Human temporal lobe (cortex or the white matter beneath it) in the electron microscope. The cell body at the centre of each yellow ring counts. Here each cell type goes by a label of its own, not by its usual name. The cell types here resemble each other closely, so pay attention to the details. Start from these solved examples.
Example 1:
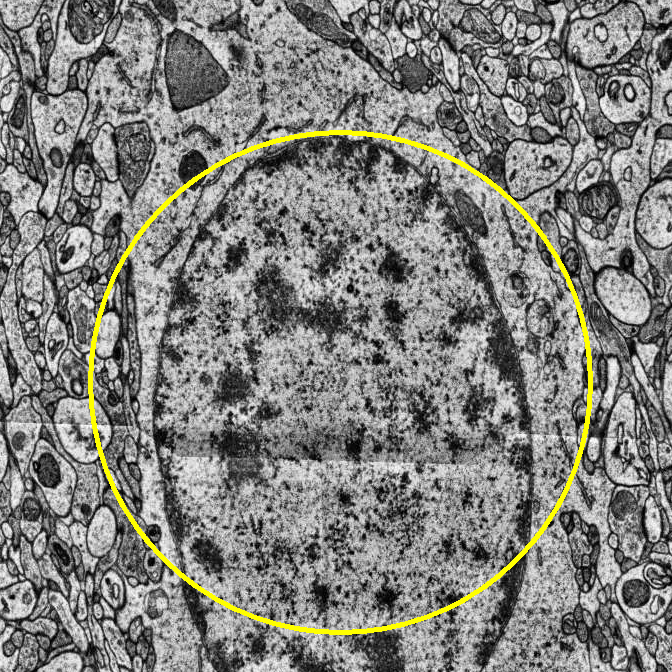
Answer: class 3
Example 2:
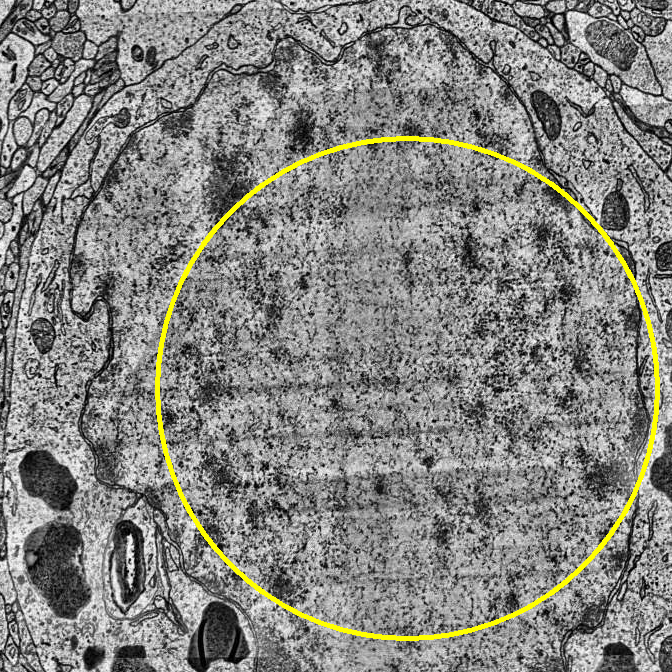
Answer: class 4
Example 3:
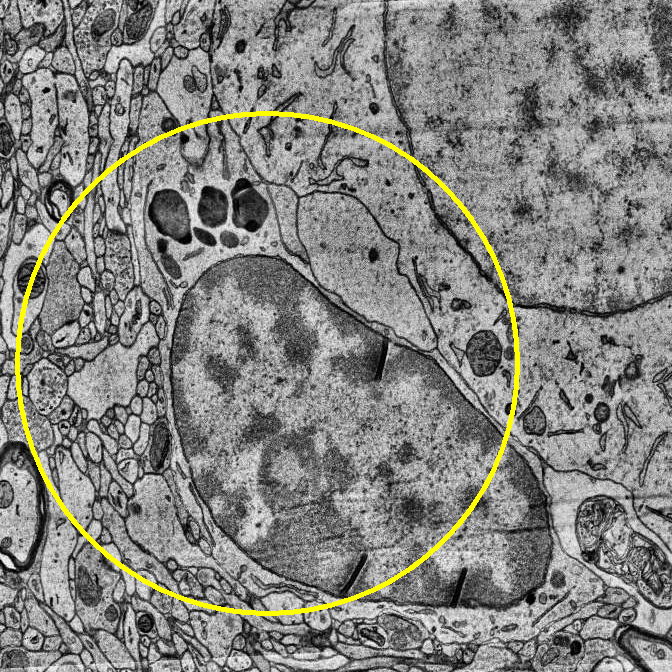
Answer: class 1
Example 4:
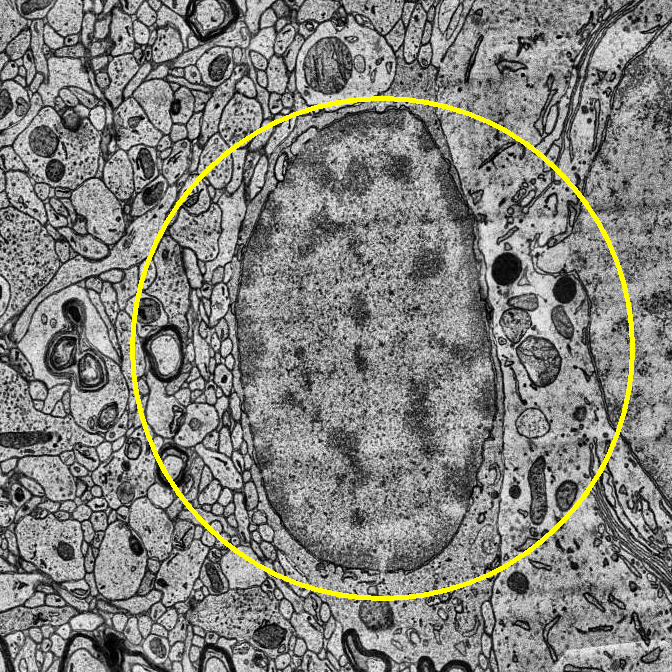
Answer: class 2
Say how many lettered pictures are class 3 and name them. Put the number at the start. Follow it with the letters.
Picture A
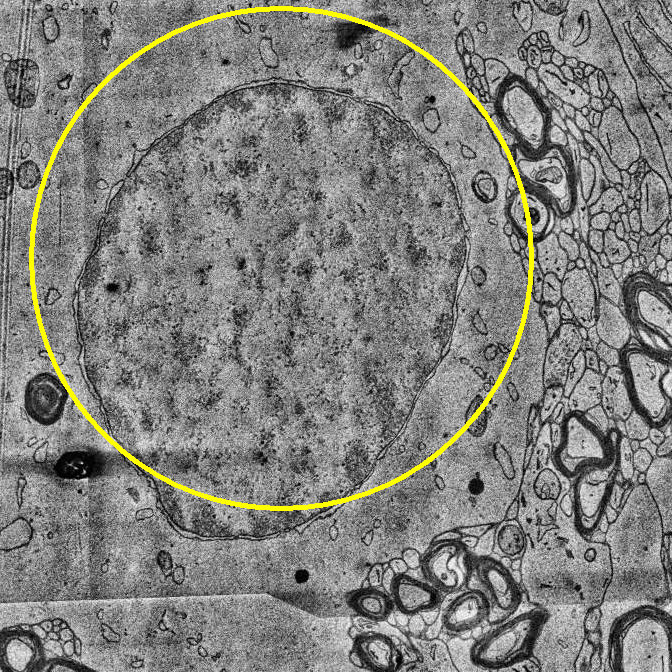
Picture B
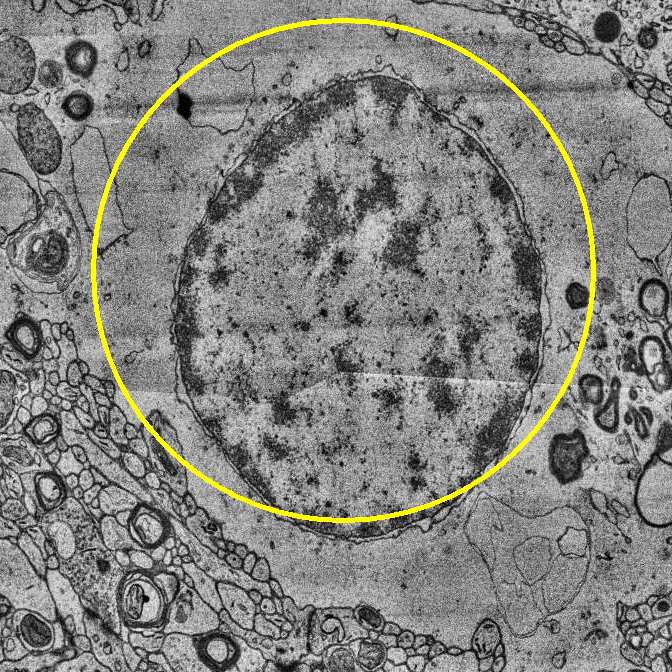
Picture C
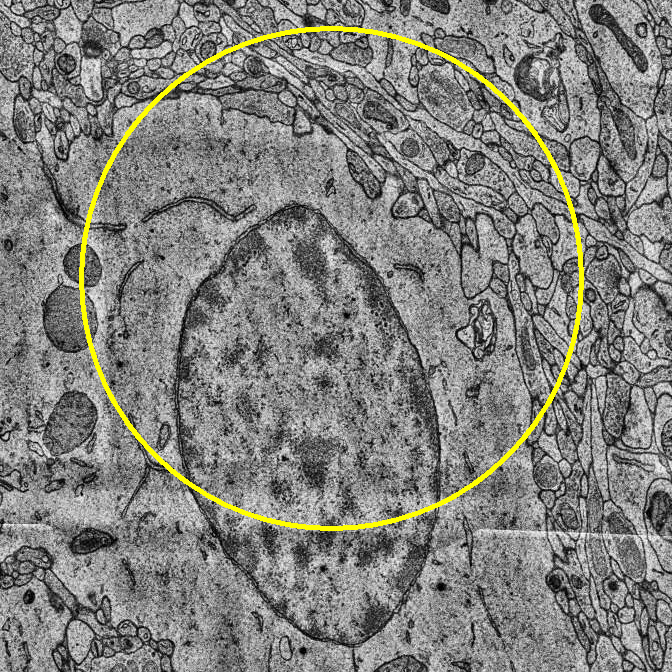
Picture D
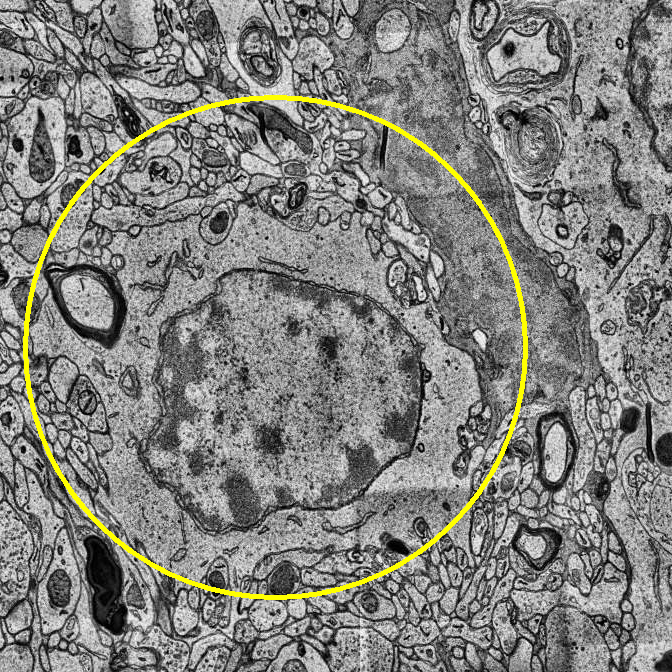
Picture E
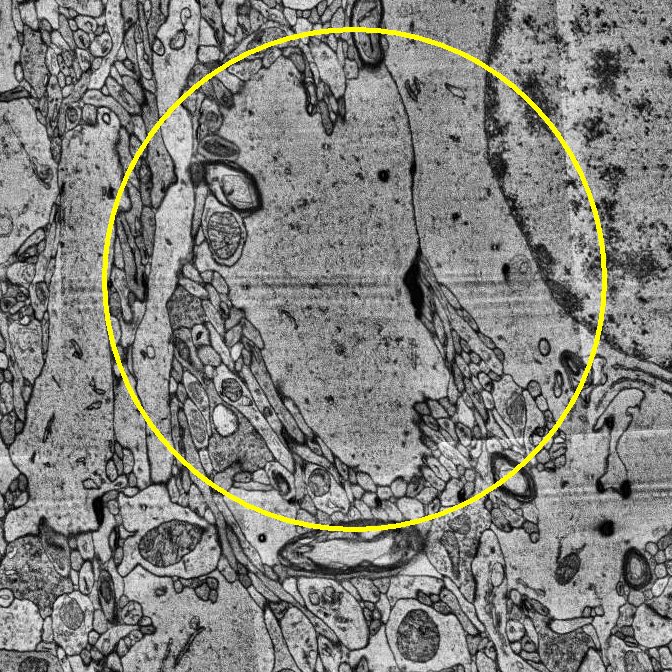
Count: 5 (A, B, C, D, E)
